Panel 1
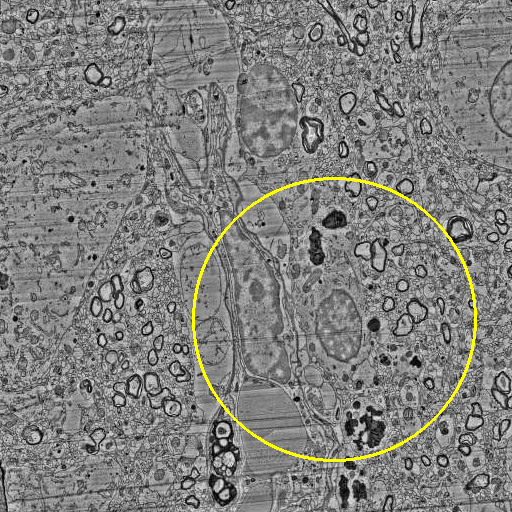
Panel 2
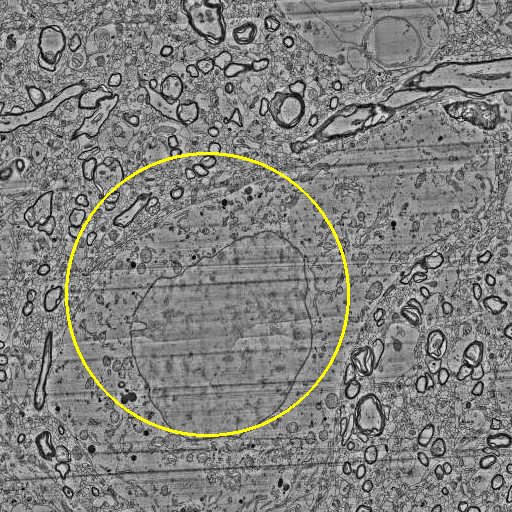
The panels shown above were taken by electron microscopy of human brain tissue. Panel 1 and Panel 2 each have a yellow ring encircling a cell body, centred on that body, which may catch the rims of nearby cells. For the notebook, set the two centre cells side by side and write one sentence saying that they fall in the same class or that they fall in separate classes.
The centred cells of Panel 1 and Panel 2 fall in separate classes.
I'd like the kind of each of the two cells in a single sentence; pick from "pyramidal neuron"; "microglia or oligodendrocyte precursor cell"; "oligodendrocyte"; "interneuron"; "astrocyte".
The first ring marks an oligodendrocyte, and the second ring marks a pyramidal neuron.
